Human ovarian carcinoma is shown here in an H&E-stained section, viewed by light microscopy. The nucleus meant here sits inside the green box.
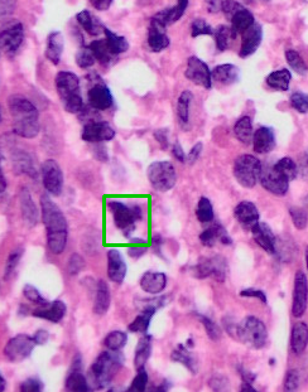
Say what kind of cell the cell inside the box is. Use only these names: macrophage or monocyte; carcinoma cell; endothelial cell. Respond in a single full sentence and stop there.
The classification of the cell inside the box is as a carcinoma cell.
